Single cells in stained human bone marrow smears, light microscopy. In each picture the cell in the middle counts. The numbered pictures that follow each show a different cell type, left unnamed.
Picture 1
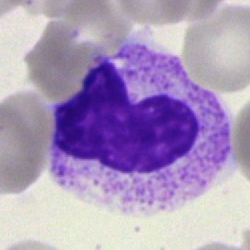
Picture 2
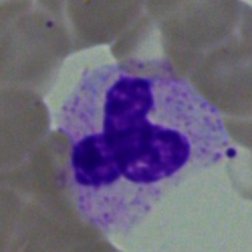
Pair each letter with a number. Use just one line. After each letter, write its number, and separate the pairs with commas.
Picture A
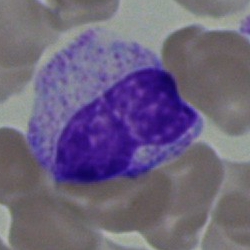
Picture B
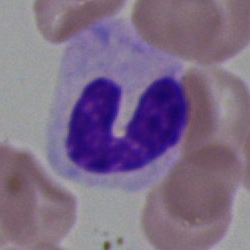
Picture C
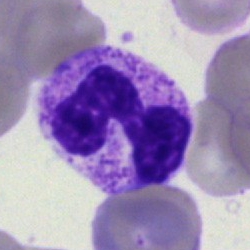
A 1, B 1, C 1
